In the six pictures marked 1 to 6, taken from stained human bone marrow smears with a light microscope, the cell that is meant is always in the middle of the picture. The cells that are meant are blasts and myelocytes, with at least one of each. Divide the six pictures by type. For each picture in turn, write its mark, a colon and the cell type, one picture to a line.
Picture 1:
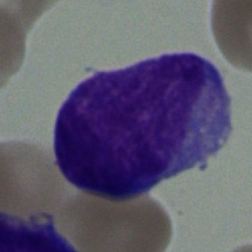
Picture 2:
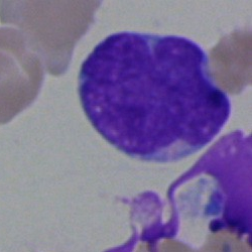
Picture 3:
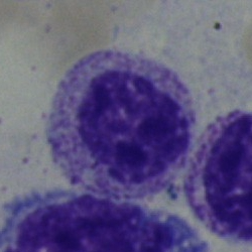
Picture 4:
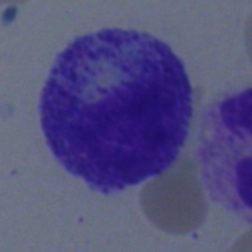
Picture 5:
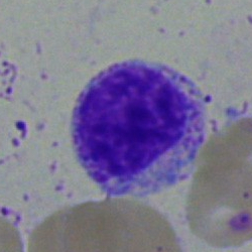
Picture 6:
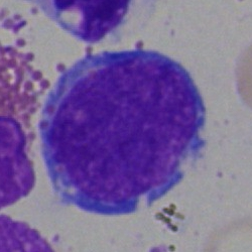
1: blast
2: blast
3: myelocyte
4: myelocyte
5: myelocyte
6: blast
